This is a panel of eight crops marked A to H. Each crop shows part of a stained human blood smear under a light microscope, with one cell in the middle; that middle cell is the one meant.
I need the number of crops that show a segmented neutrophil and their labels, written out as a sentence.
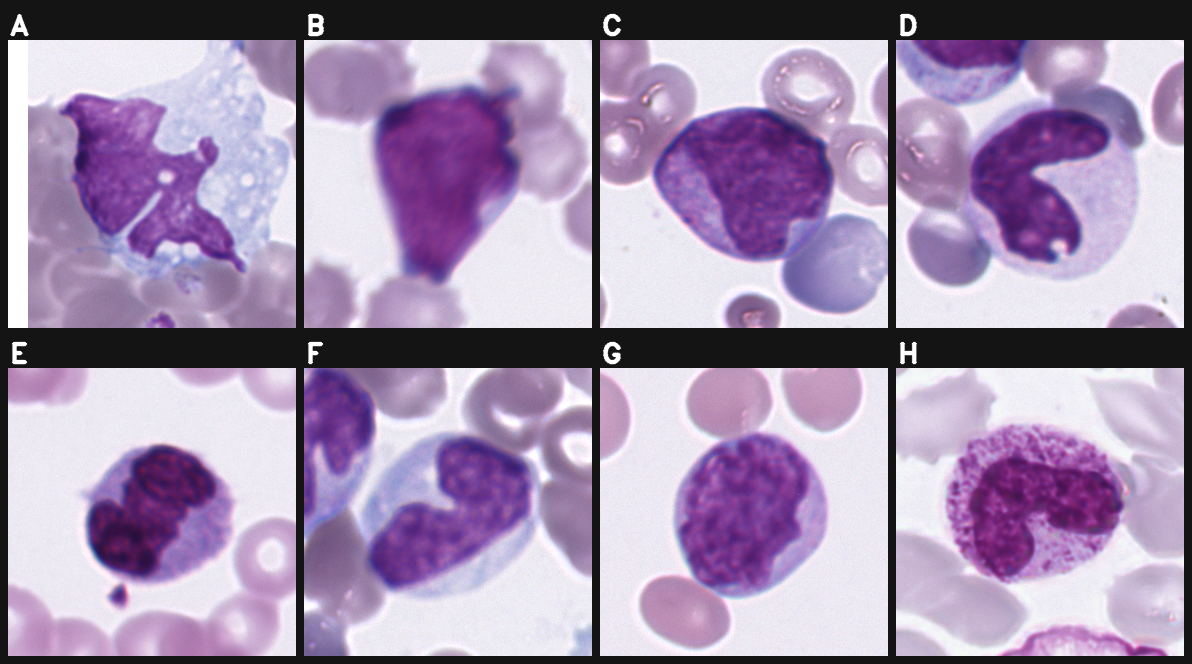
The crops include no segmented neutrophils at all, so the count is zero.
